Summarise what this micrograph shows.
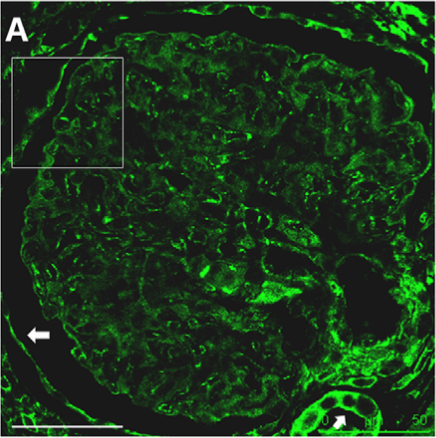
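A round glomerular tuft of kidney is seen, made of many tightly packed capillary loops outlined in green. A dark empty crescent, the urinary space, separates the tuft from the thin green-lined wall of the capsule around it. Outside the capsule, tubules in cross-section show strong green labelling of their epithelial cells, brightest in a tubule at the lower right. The tuft looks intact, with open loops and no obvious scarring.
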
